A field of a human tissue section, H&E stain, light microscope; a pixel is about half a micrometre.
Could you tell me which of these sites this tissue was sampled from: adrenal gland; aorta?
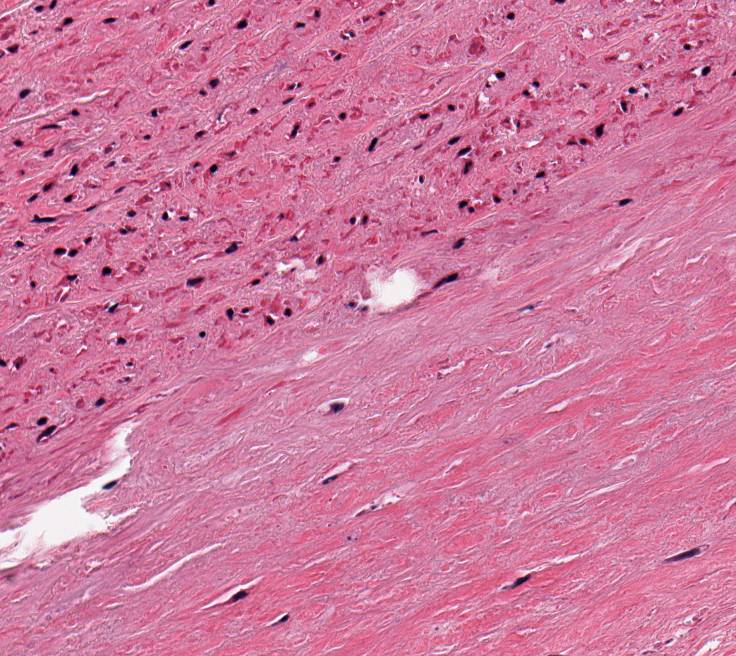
aorta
